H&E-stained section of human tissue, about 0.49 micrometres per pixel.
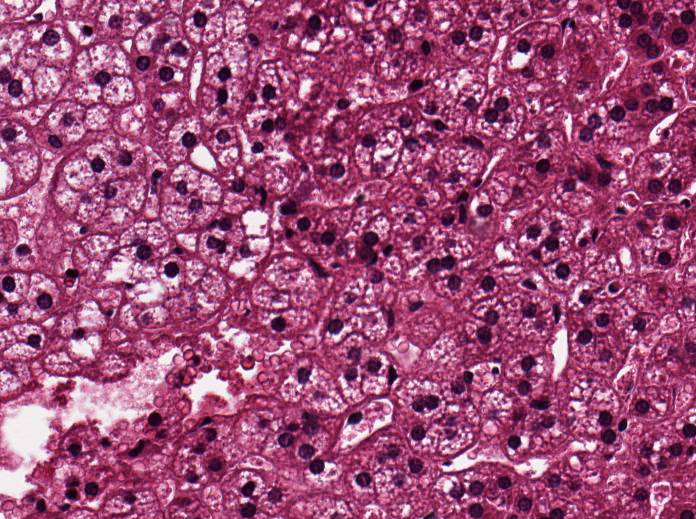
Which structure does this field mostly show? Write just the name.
zona fasciculata of the adrenal gland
